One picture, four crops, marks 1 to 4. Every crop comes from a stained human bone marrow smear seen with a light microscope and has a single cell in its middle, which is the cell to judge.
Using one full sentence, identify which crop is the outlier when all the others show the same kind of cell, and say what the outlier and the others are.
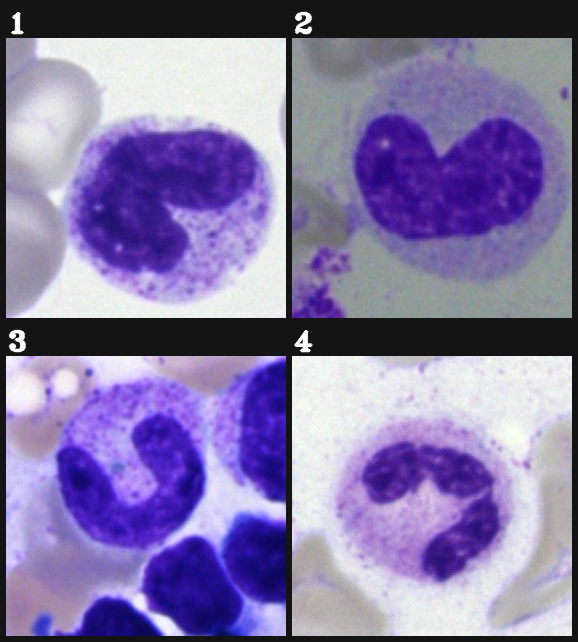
Crop 4 breaks the pattern with a segmented neutrophil; all the others show band neutrophils.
